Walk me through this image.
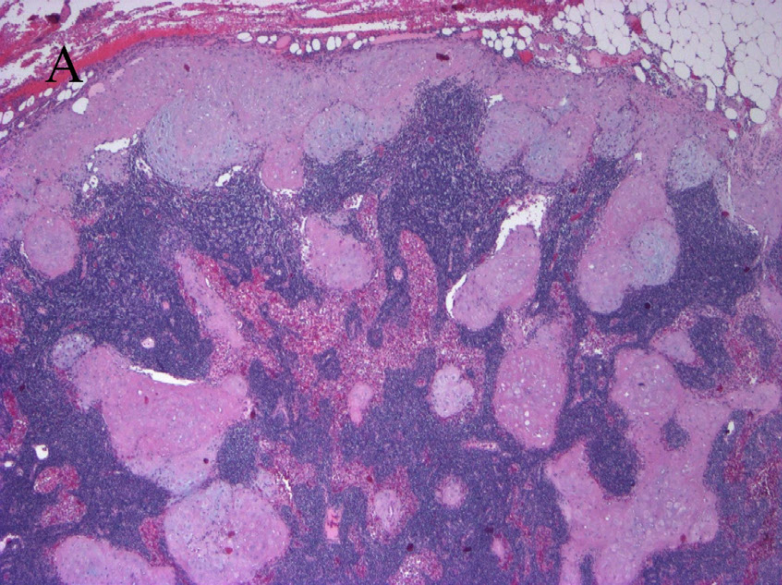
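Beneath a thin fibrous capsule with adjacent fat, the lymph node shows dark blue sheets of lymphocytes interrupted by many rounded pale pink nests of cells. The nests lie just under the capsule and along channels that run down between the lymphoid tissue, some of them sitting in spaces with red blood cells. The pink nests are composed of cells with abundant eosinophilic cytoplasm, arranged in a subcapsular and sinusoidal pattern.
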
